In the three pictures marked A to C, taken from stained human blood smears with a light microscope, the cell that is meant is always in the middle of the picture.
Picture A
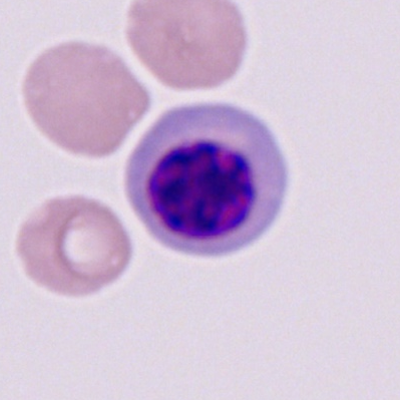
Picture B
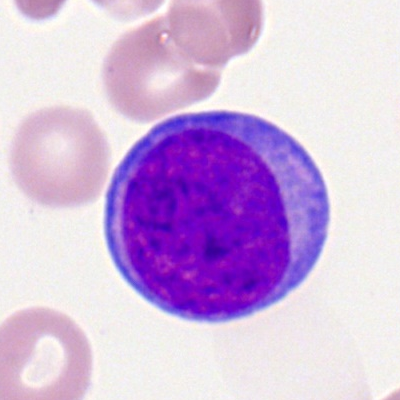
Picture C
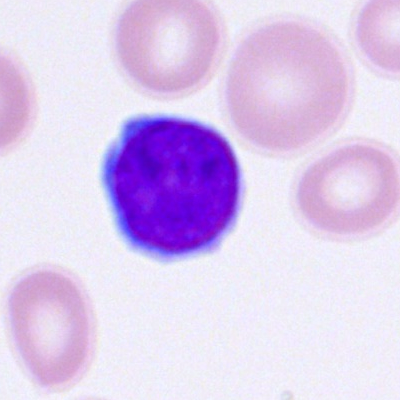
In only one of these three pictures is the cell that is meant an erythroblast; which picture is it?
A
